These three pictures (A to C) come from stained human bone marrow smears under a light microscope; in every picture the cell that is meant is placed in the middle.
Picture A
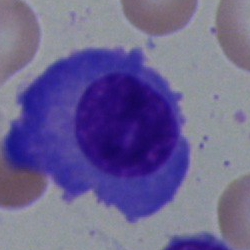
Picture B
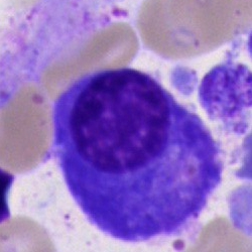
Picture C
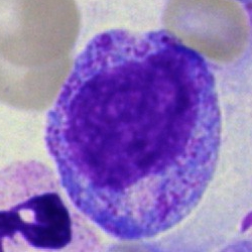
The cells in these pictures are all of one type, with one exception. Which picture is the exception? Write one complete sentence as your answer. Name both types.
The different one is picture C; it shows a myelocyte, whereas all the others show plasma cells.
